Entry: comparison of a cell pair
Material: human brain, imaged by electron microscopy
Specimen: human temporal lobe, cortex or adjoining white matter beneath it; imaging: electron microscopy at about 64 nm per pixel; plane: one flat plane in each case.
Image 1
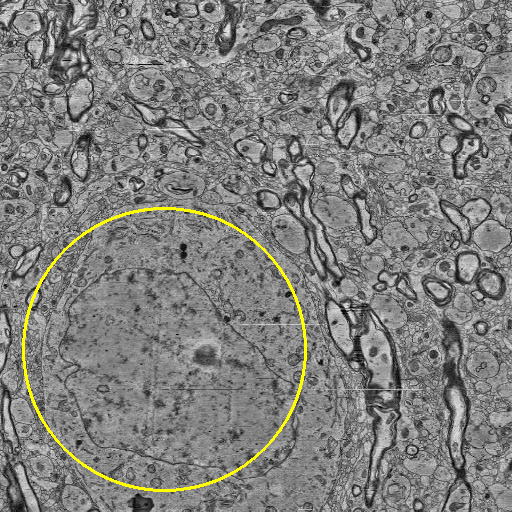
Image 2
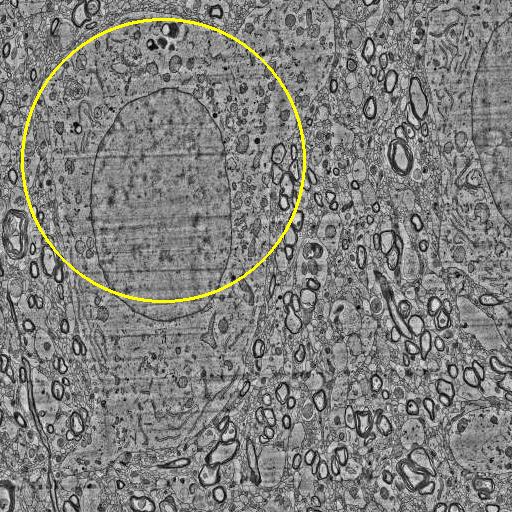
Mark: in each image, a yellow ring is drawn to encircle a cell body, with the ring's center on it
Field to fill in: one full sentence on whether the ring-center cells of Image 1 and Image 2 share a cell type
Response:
Yes, Image 1 and Image 2 each show a ring-center cell of one shared type.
